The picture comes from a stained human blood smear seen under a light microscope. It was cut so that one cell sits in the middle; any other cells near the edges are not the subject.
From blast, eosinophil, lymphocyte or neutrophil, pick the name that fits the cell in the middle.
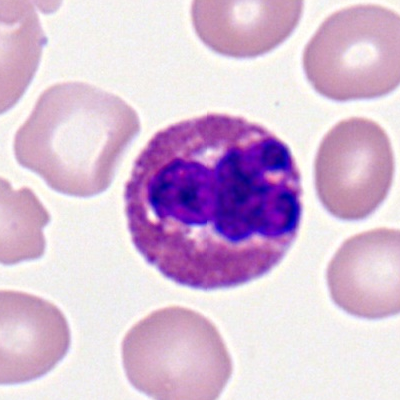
eosinophil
